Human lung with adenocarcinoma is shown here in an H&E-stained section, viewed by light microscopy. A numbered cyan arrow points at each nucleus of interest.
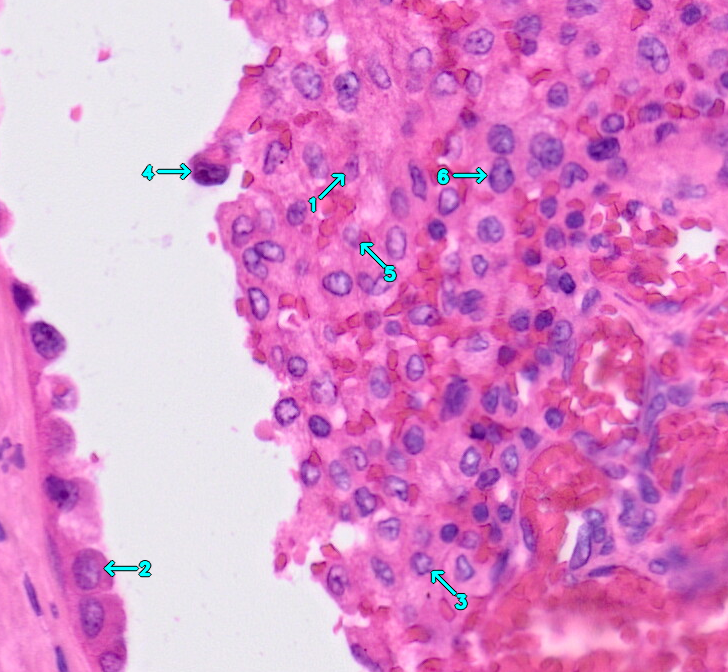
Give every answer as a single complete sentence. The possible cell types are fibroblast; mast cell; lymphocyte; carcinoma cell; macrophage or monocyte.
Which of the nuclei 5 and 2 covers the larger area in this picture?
Nucleus 2 is larger, with an area about 2 times that of nucleus 5.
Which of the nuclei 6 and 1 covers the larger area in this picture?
Number 6 is larger; its area is about 2 times that of number 1.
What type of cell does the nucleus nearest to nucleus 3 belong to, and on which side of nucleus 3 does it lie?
A macrophage or monocyte lies closest, above nucleus 3.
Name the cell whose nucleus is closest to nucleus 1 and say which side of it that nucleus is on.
The nearest nucleus is that of a macrophage or monocyte and lies to the left of nucleus 1.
